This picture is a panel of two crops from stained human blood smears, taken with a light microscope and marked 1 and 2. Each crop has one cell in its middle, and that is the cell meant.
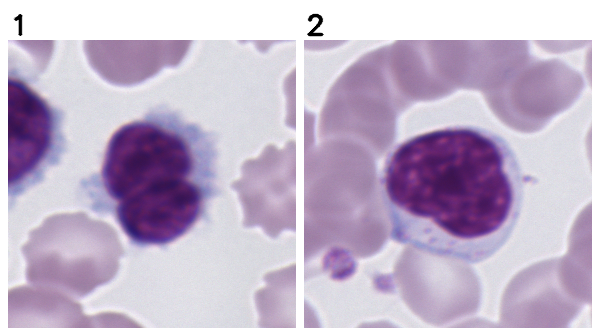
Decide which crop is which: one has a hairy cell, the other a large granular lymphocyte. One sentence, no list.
The centred cell is a hairy cell in crop 1 and a large granular lymphocyte in crop 2.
